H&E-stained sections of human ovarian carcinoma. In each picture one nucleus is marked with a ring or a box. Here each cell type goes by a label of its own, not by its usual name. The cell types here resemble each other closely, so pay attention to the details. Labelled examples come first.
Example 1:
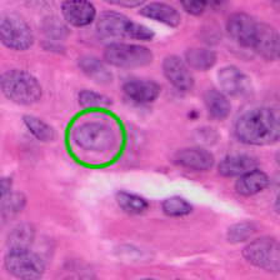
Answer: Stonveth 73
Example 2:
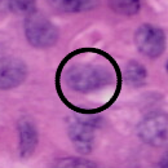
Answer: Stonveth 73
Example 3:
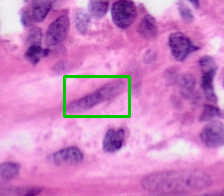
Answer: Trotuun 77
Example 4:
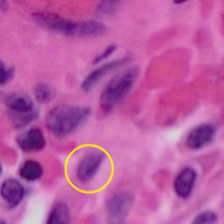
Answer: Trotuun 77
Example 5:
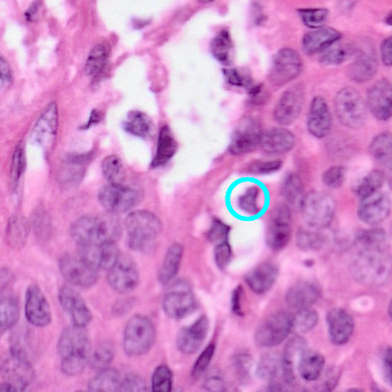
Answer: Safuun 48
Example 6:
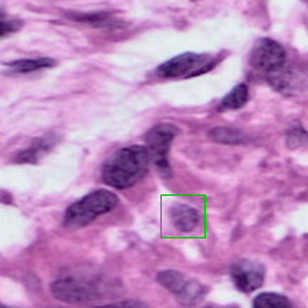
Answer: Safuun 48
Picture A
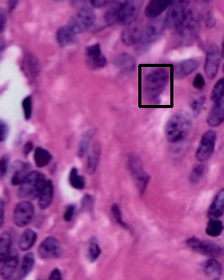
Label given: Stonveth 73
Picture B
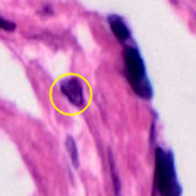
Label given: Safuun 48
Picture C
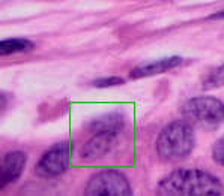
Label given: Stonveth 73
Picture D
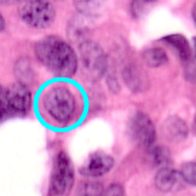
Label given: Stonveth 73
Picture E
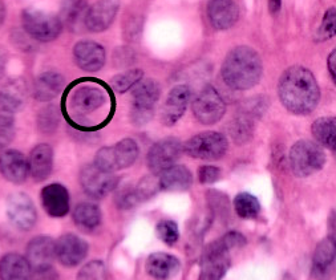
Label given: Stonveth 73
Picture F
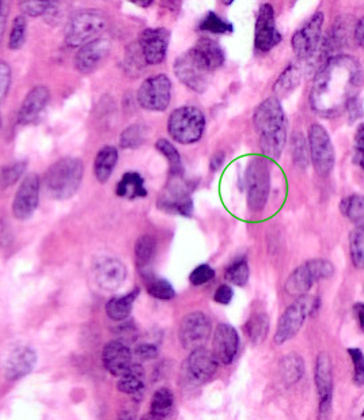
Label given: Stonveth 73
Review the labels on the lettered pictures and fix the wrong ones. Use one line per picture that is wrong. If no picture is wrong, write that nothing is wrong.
B: Trotuun 77, not Safuun 48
